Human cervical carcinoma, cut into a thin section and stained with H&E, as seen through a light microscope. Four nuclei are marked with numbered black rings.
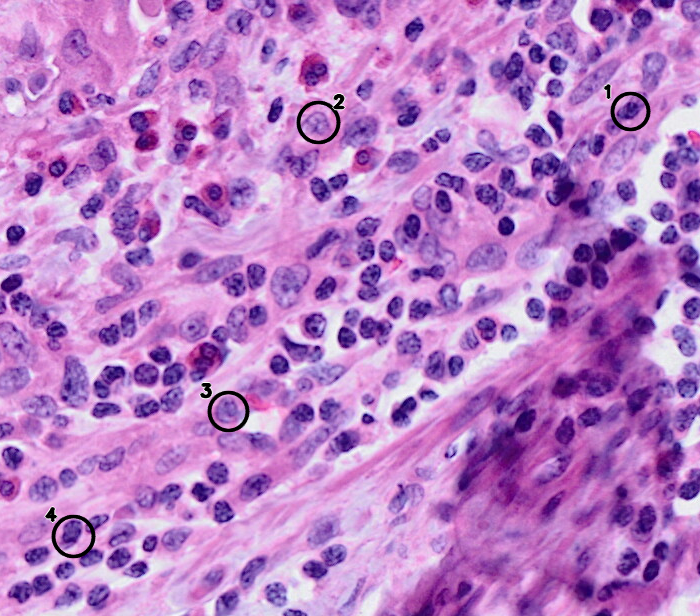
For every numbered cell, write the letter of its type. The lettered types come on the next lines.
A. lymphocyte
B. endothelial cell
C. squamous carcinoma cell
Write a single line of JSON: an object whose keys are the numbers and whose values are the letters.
{"1": "A", "2": "B", "3": "B", "4": "A"}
